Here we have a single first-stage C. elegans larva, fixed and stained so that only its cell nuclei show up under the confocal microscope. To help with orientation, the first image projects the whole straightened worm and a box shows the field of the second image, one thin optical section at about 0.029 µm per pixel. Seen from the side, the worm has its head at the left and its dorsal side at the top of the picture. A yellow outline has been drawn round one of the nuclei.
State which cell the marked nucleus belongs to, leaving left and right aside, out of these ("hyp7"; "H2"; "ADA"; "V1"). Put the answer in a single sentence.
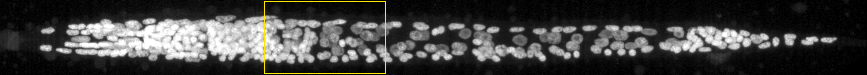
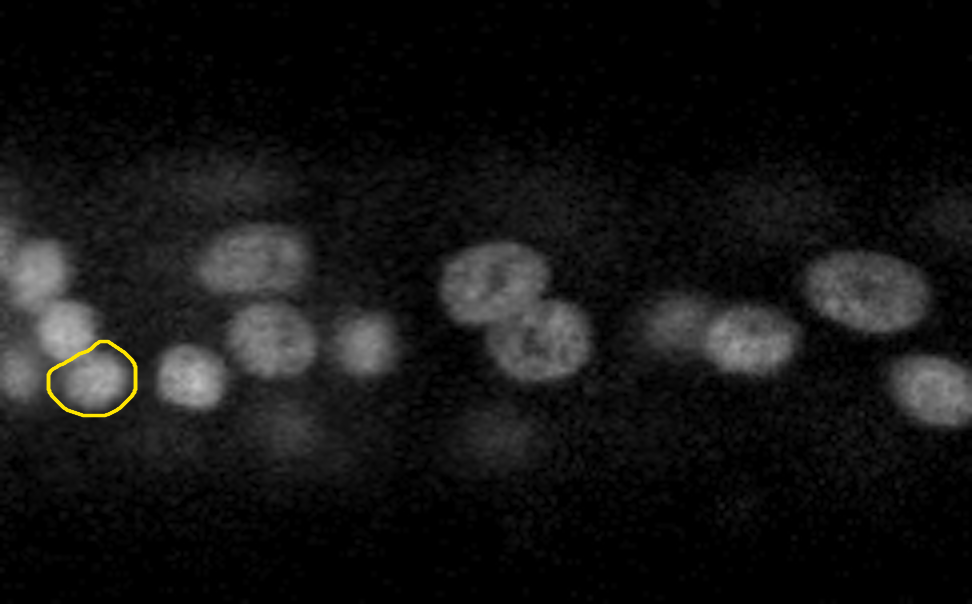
The marked cell is ADA, a neuron.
